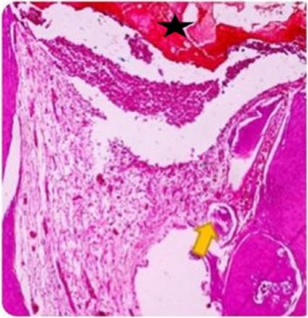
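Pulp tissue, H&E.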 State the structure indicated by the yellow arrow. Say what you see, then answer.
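Localized calcific body. A small rounded body lies within the pulp tissue. No continuous hard-tissue band crosses the pulp beneath the red material.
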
